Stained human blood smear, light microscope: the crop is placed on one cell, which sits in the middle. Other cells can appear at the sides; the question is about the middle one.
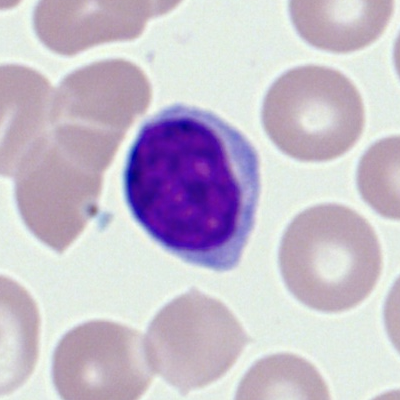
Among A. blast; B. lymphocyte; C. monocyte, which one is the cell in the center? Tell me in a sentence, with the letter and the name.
The cell in the center of this crop is a lymphocyte, so option B is the one to pick.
